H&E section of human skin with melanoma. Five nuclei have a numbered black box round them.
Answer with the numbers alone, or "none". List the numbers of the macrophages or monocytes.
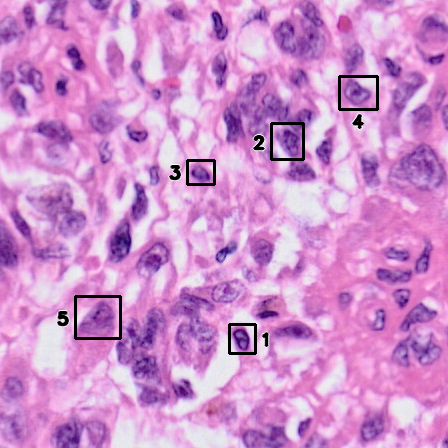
1, 3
